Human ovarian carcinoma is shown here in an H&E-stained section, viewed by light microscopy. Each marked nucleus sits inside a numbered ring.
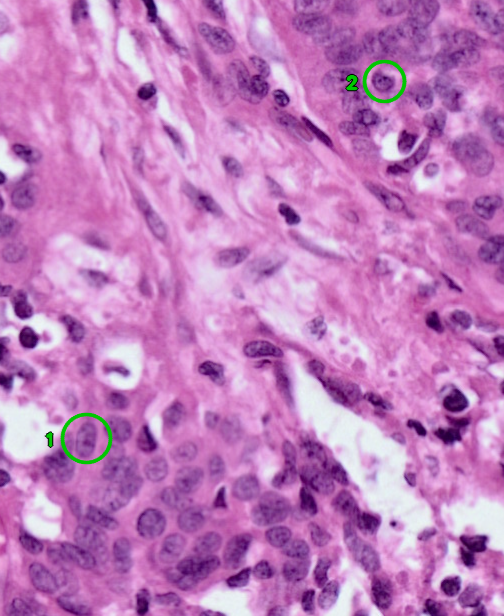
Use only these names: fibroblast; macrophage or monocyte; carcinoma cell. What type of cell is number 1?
carcinoma cell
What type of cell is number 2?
macrophage or monocyte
